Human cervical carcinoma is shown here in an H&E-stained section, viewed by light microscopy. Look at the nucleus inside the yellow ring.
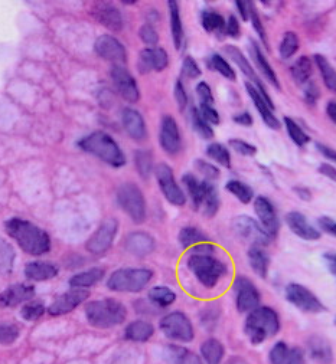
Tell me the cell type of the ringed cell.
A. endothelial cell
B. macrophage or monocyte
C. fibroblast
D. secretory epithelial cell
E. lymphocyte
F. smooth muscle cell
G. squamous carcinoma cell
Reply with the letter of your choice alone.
D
